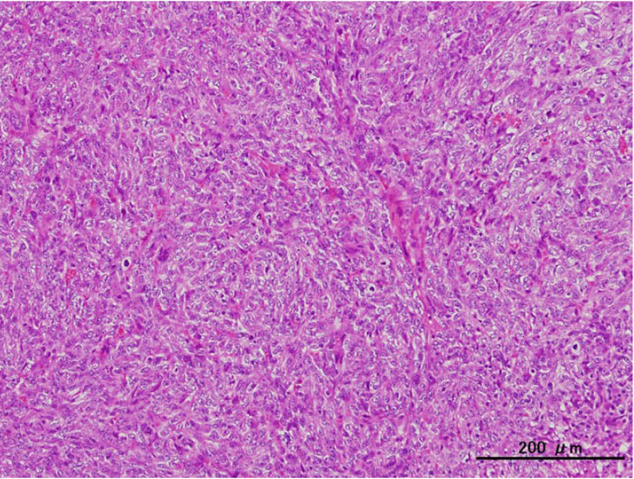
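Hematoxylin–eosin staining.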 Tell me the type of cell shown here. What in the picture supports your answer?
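Spindle- and oval-shaped tumor cells. Densely packed cells with elongated and oval nuclei. Cells form sheets and short fascicles with little intervening stroma.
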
